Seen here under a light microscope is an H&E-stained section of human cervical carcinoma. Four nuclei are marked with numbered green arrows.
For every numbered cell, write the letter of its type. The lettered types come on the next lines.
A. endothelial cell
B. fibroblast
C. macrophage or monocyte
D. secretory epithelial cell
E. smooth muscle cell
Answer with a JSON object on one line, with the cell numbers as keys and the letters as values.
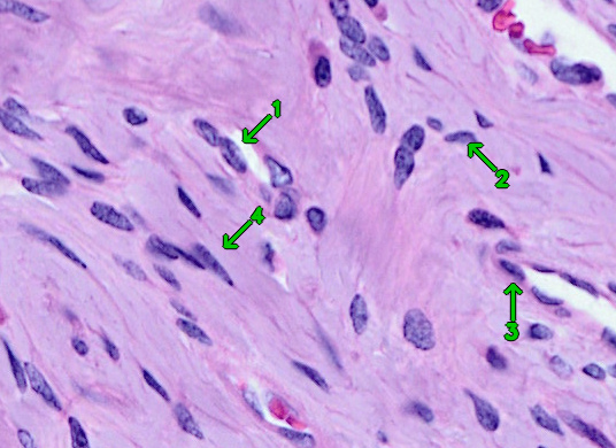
{"1": "A", "2": "B", "3": "A", "4": "B"}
